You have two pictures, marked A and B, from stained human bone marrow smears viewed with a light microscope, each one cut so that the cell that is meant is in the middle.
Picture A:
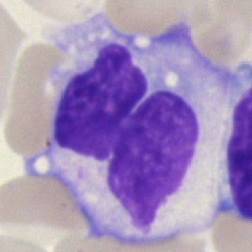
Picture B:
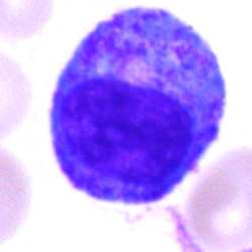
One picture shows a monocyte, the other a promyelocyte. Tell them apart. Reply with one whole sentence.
Picture B shows a promyelocyte, while picture A shows a monocyte.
